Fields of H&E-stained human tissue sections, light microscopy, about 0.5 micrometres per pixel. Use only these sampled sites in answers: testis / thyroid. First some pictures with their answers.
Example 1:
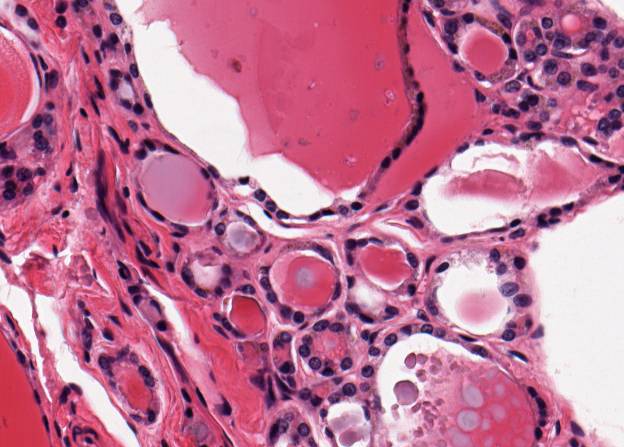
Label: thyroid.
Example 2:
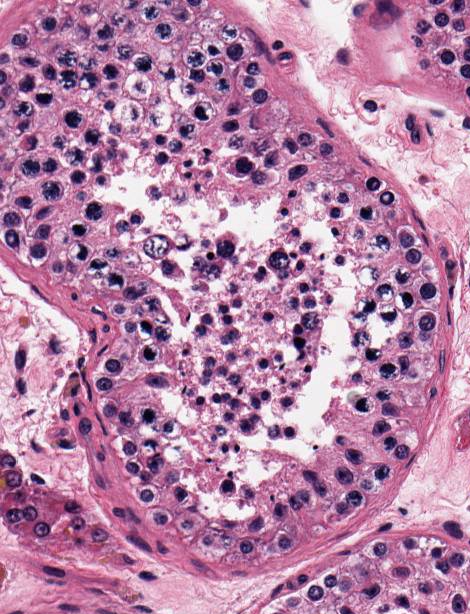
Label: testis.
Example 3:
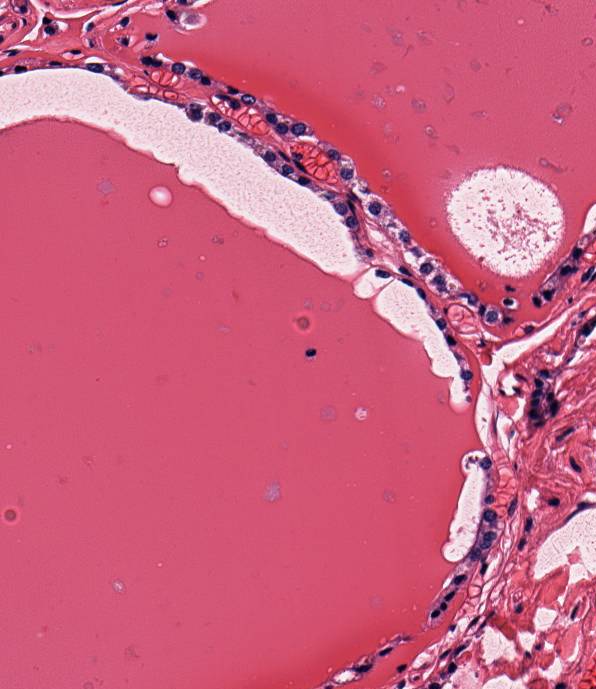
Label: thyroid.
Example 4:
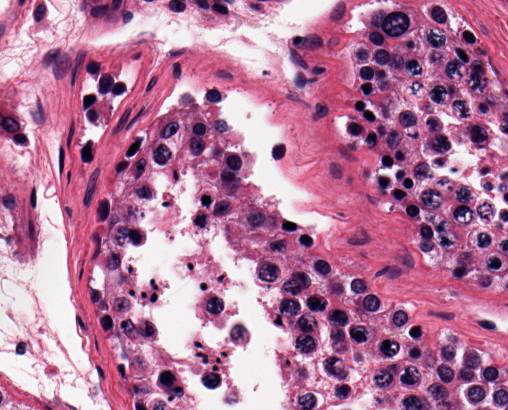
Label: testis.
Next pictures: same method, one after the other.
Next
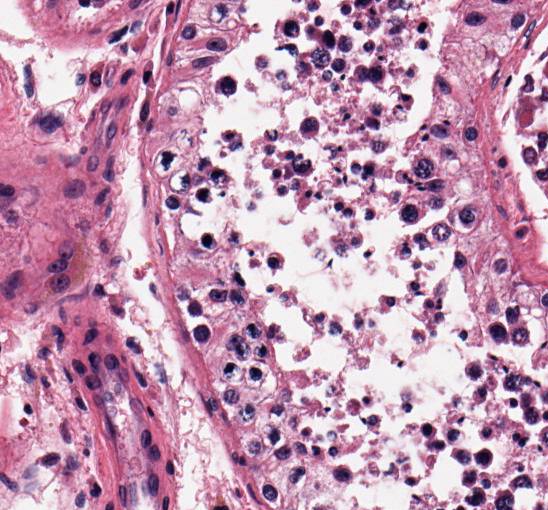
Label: testis.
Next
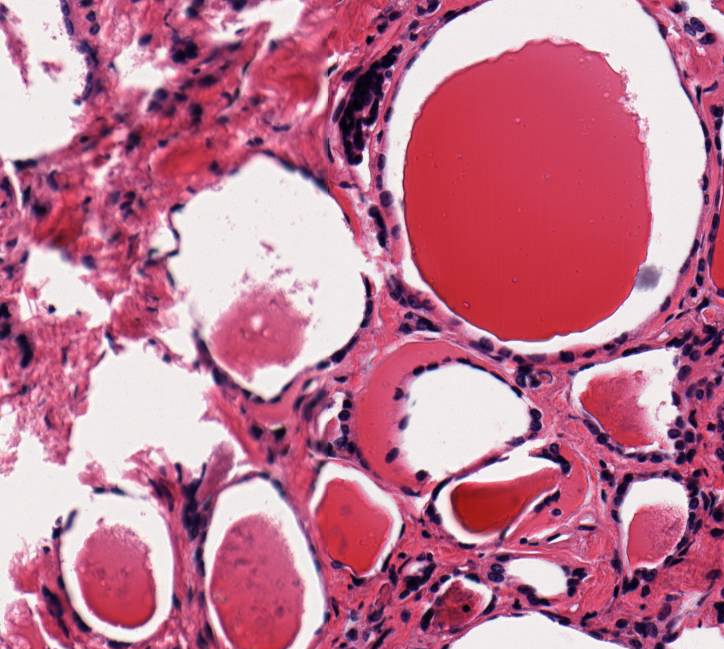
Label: thyroid.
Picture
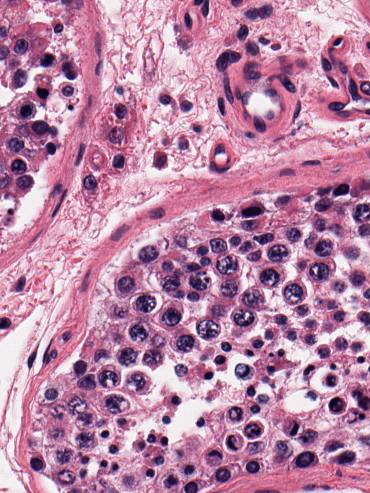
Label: testis.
